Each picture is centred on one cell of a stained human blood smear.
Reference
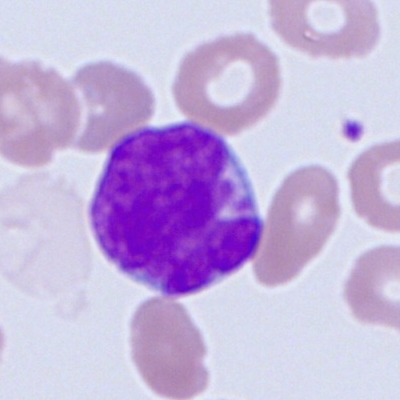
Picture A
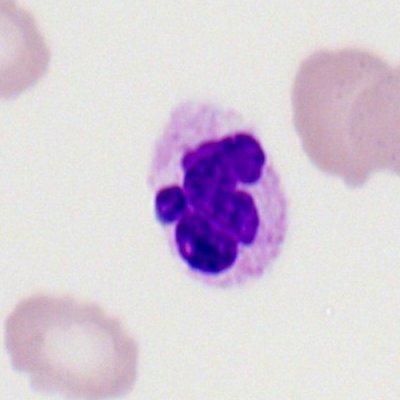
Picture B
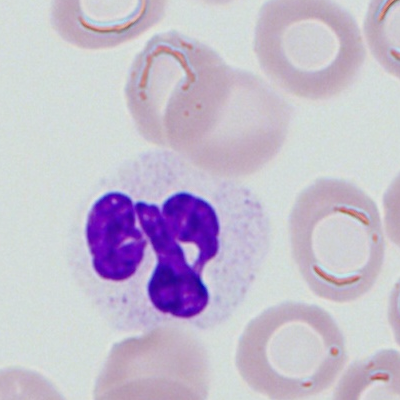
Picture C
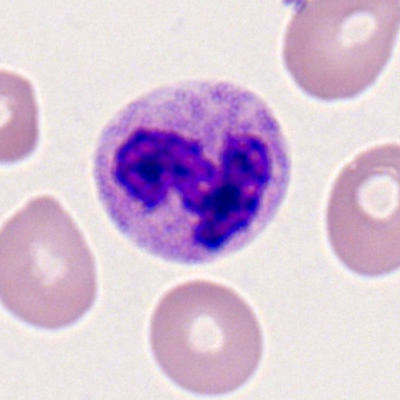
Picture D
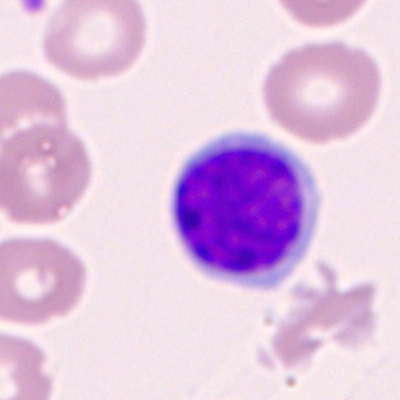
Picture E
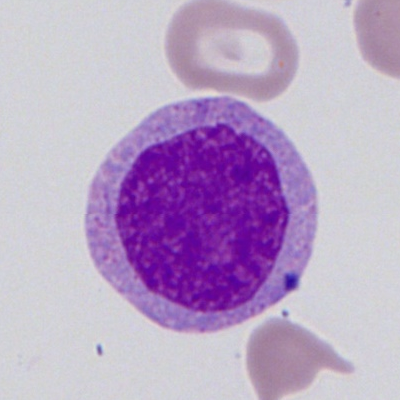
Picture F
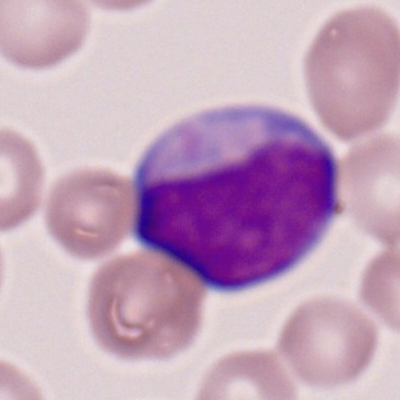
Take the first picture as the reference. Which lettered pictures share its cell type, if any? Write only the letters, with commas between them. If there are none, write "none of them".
E, F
